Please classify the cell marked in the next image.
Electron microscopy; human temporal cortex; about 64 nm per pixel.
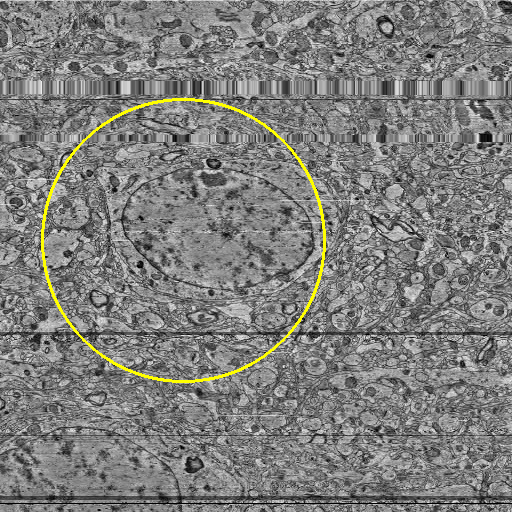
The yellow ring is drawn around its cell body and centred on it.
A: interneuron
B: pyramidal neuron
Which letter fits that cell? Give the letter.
B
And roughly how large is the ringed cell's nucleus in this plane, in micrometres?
The nucleus appears roughly 12 by 8 micrometres in this plane.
